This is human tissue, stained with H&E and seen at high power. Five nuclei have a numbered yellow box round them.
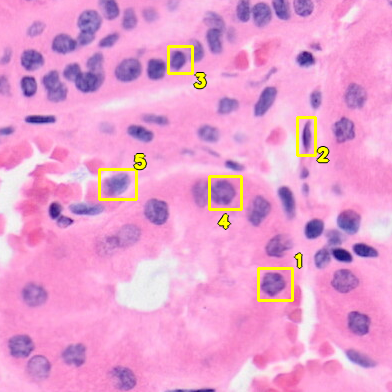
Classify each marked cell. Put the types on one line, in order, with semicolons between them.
proximal tubule cell; endothelial cell; collecting duct cell; proximal tubule cell; endothelial cell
